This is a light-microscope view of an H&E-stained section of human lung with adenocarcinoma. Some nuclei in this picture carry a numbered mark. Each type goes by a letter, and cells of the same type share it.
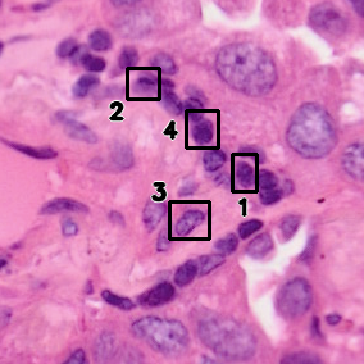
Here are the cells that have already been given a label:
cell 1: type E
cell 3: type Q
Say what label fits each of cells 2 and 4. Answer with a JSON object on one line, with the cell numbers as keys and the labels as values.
{"2": "type E", "4": "type E"}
